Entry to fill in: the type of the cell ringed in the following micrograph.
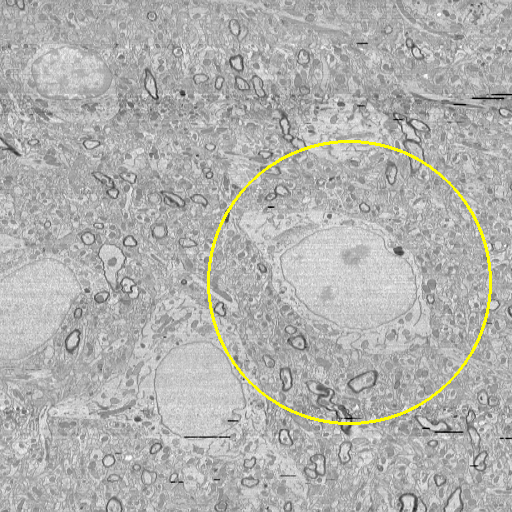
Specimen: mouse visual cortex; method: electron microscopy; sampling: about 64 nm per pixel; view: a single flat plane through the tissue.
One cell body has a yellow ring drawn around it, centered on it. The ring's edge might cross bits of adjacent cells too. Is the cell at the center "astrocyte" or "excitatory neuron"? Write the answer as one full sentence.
This entry names an excitatory neuron as the cell whose body lies at the ring's center.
